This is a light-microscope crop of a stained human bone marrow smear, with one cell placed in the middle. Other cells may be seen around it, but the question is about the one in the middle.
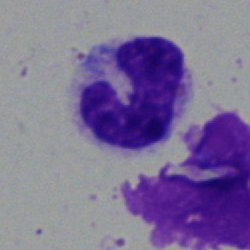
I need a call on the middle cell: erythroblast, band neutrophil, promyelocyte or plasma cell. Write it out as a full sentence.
The target cell in the middle of the crop is a band neutrophil.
